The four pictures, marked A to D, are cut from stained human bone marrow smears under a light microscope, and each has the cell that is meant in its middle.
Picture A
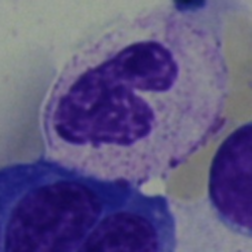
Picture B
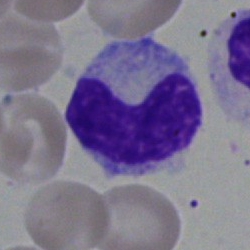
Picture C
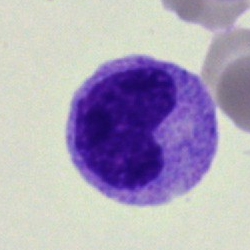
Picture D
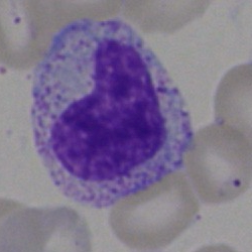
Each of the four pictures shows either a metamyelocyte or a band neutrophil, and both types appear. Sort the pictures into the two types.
A: band neutrophil
B: band neutrophil
C: metamyelocyte
D: metamyelocyte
